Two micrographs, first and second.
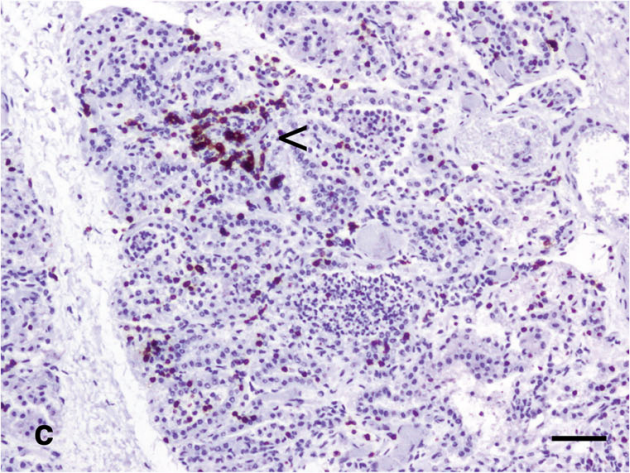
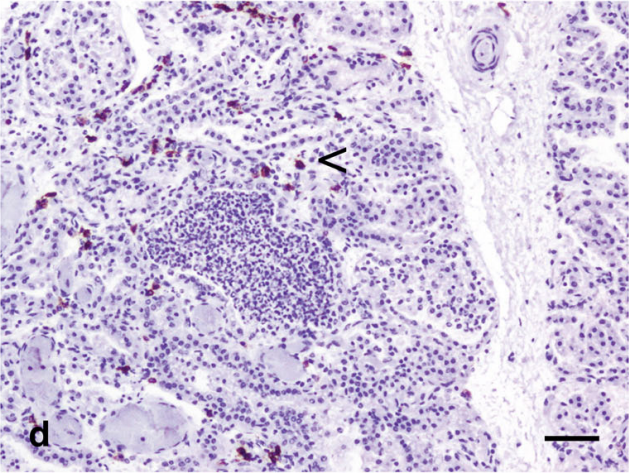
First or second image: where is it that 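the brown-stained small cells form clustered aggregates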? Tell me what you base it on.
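First image: a dense cluster of brown-stained cells is present, with many more scattered brown cells elsewhere. That points to this answer: the first image.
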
